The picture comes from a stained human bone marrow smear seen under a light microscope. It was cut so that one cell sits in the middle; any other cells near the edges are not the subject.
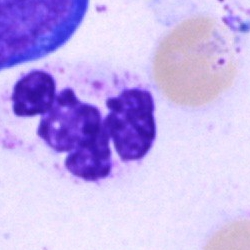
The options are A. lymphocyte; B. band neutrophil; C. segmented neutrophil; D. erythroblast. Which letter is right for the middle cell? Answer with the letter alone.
C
